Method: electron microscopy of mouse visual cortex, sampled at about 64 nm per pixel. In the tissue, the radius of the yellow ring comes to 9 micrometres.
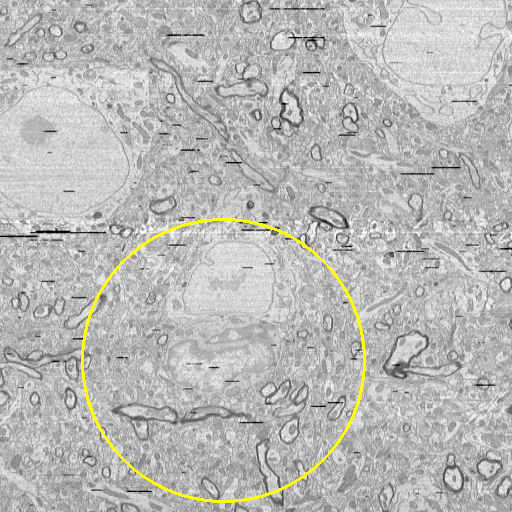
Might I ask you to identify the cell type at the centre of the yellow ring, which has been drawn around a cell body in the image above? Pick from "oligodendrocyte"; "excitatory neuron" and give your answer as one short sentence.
The centre of the ring falls on an oligodendrocyte.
